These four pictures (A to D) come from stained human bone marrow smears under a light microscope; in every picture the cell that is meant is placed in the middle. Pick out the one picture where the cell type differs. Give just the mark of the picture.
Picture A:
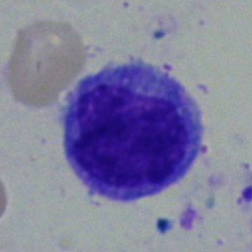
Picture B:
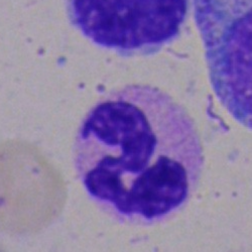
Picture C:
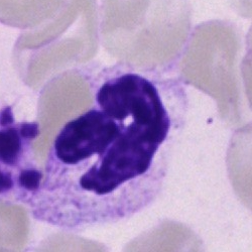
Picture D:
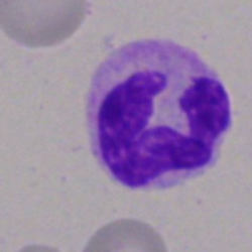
A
